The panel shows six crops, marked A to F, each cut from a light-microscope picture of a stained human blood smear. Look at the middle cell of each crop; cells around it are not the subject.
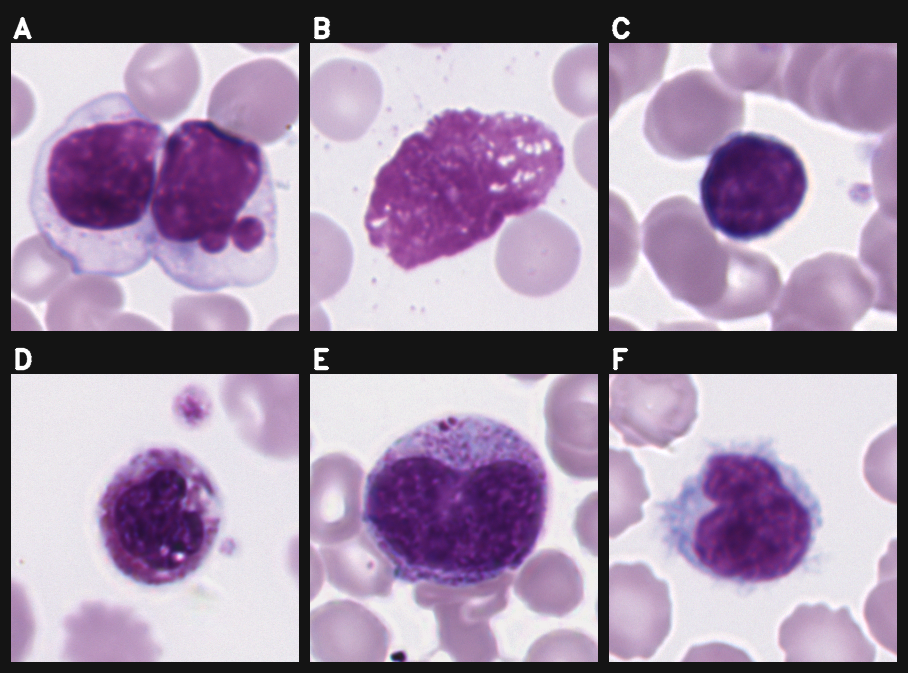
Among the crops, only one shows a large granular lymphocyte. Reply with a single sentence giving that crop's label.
Crop A, of the crops presented, is the one showing a large granular lymphocyte.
